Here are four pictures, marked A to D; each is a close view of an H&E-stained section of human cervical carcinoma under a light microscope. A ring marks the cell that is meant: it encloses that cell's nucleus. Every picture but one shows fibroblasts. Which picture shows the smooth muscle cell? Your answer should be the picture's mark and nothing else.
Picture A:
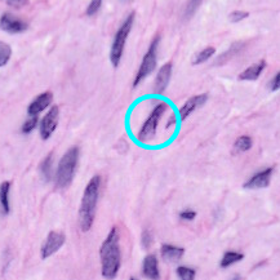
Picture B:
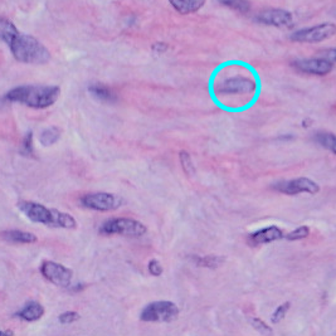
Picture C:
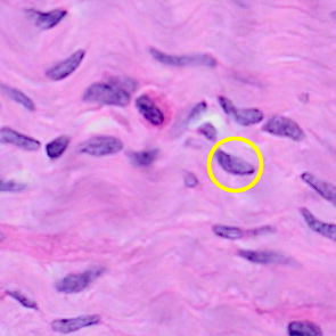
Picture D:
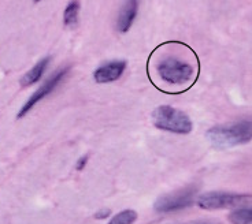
B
